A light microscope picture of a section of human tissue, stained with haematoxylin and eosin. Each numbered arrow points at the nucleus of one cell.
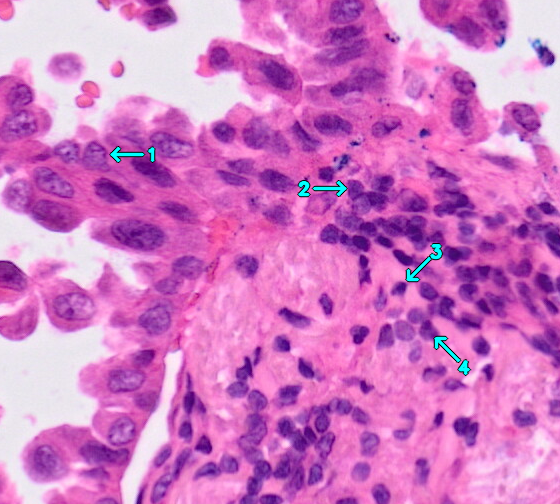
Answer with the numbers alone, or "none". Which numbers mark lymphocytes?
2, 3, 4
